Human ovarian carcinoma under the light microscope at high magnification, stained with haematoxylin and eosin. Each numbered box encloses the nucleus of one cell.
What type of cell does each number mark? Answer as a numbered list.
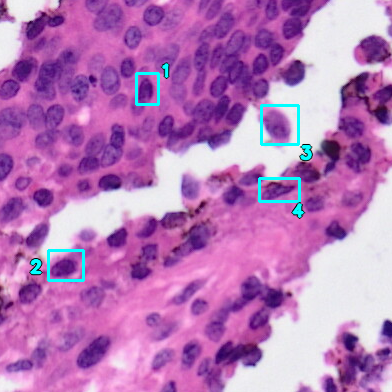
1. carcinoma cell
2. carcinoma cell
3. carcinoma cell
4. macrophage or monocyte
